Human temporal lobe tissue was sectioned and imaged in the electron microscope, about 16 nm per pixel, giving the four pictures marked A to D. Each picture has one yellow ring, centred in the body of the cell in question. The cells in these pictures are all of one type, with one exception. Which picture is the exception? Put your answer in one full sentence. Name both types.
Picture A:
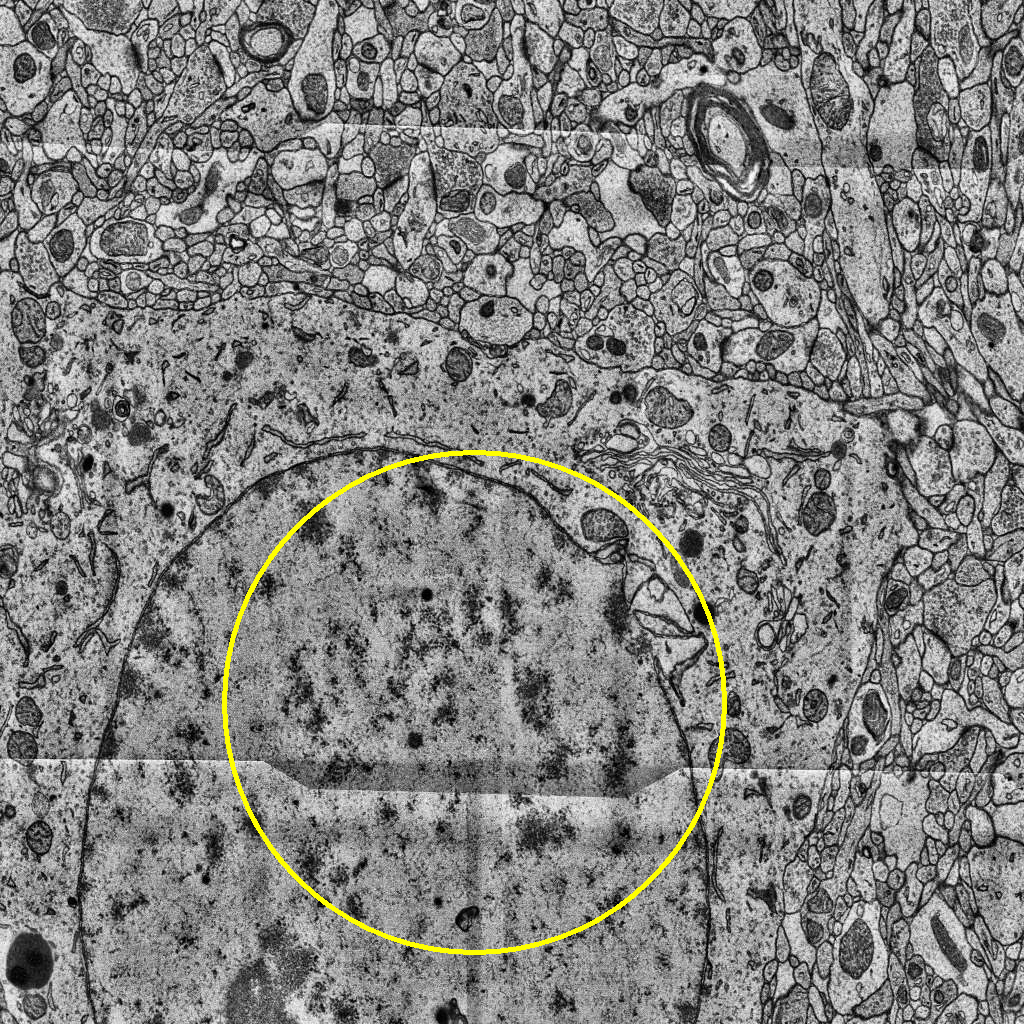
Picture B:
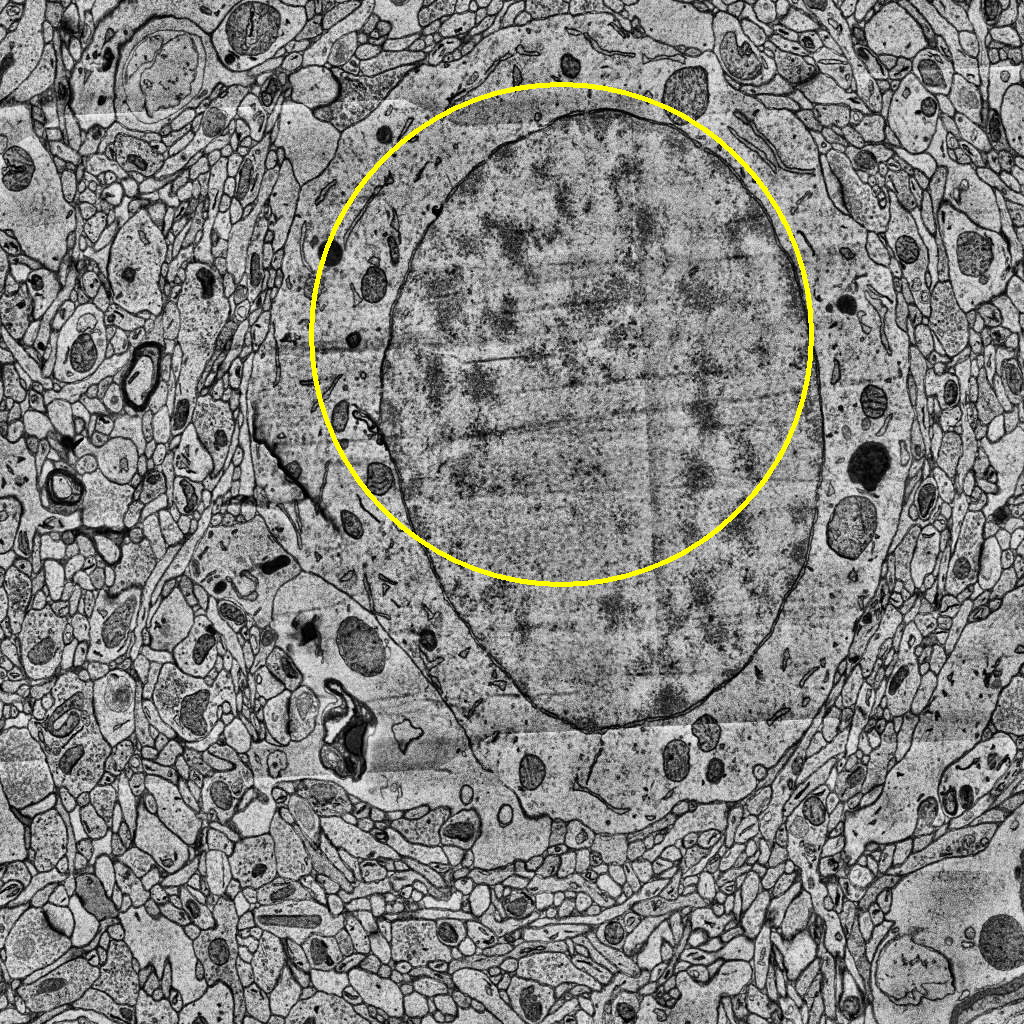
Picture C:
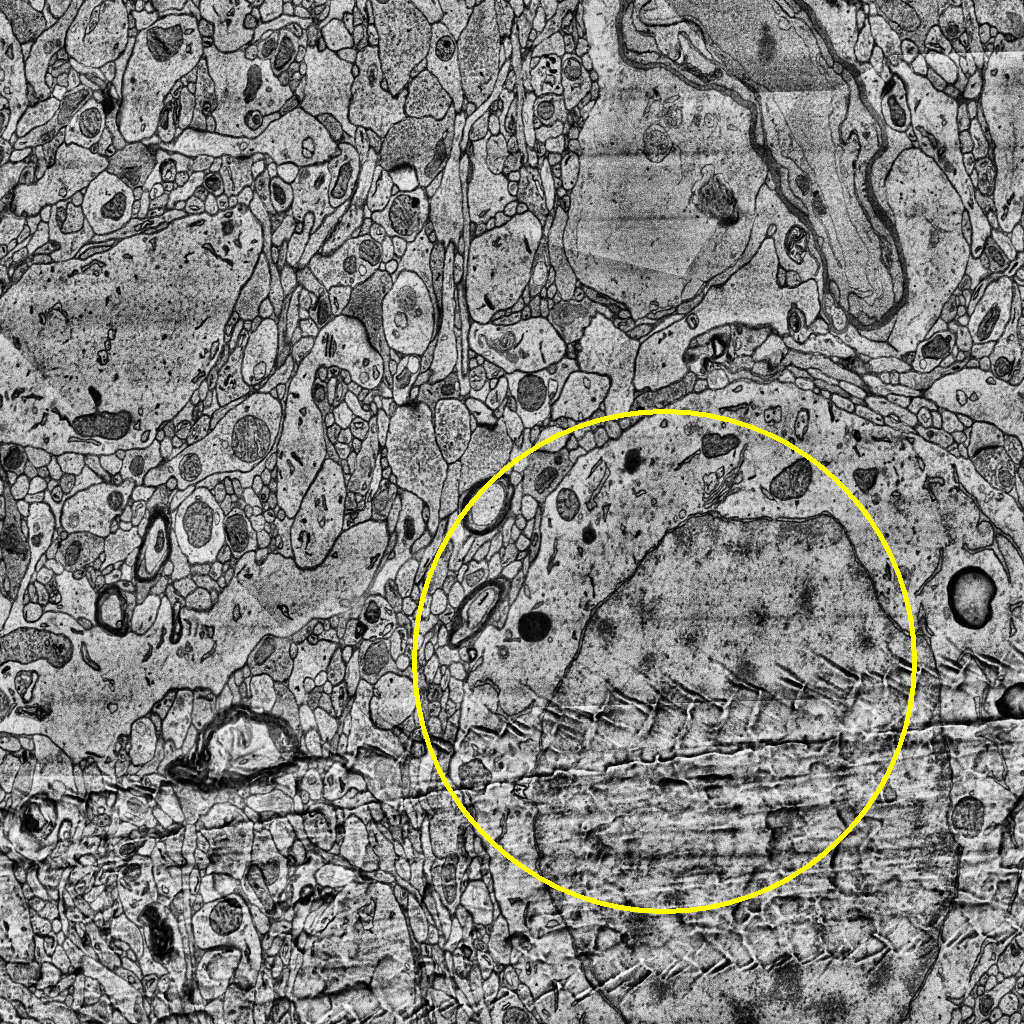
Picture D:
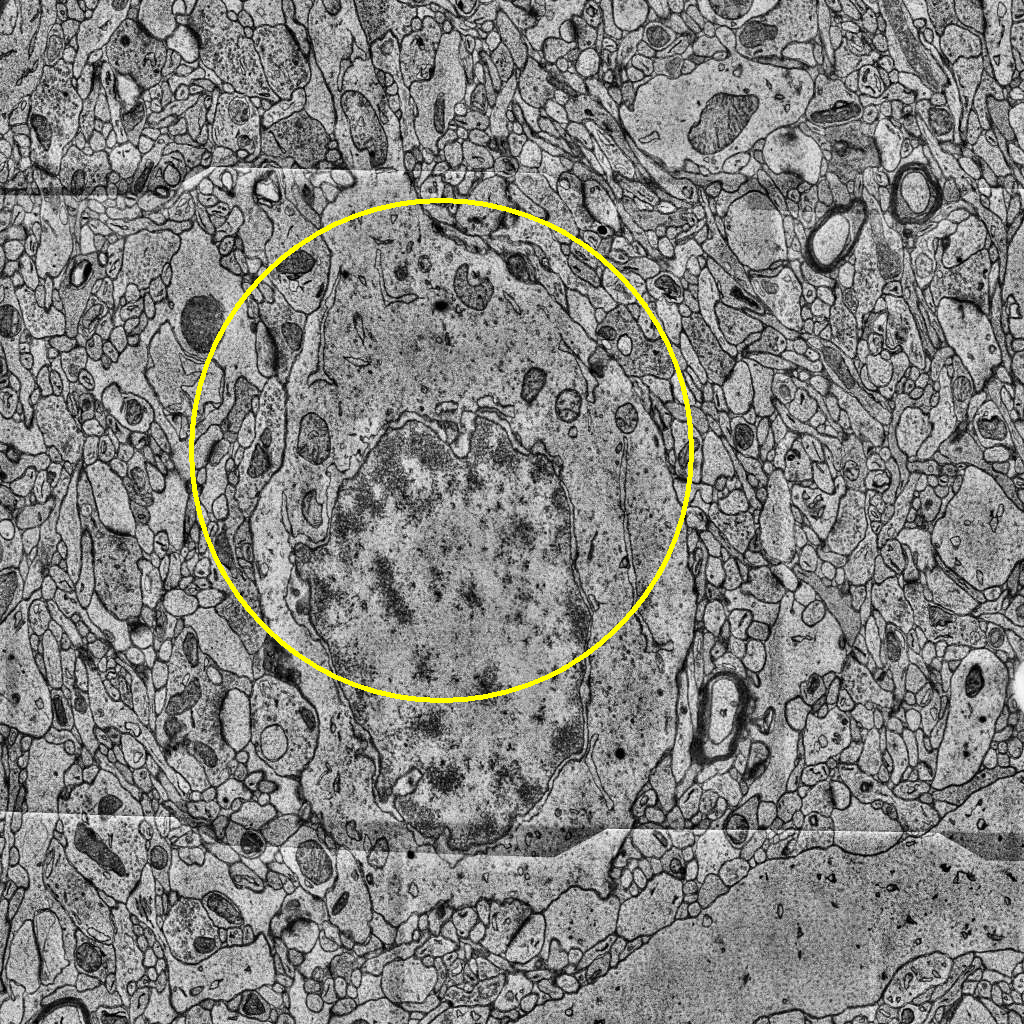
The others show pyramidal neurons, but picture D shows an interneuron.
